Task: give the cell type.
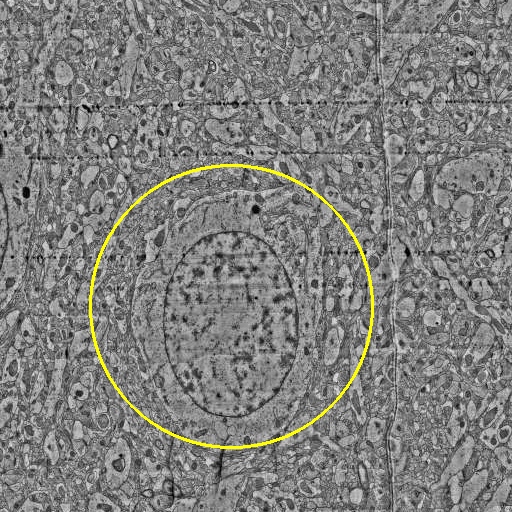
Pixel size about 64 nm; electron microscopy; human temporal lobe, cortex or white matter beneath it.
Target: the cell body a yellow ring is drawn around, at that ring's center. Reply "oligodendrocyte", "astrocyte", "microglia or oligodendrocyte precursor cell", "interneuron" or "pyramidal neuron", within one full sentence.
In this picture, the cell whose body lies at the ring's center is a pyramidal neuron.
